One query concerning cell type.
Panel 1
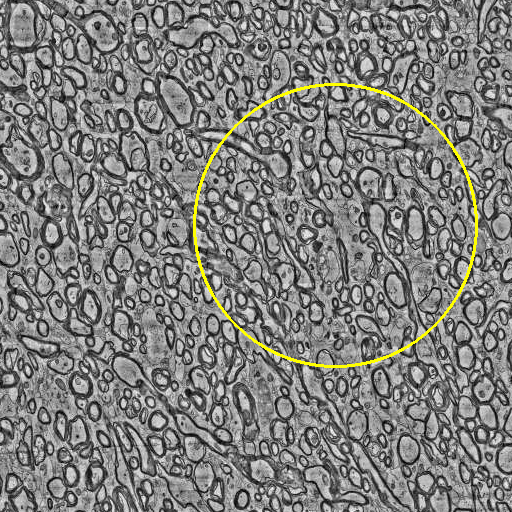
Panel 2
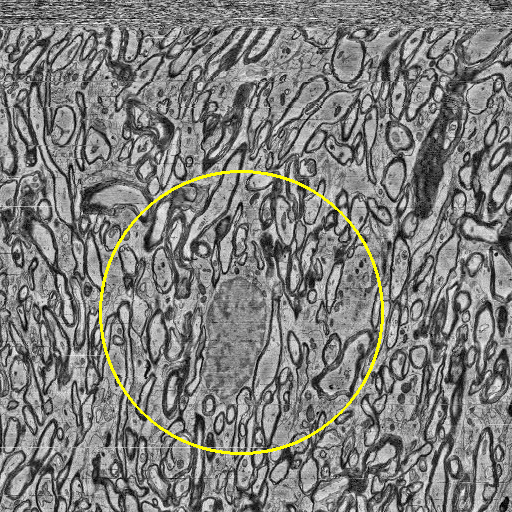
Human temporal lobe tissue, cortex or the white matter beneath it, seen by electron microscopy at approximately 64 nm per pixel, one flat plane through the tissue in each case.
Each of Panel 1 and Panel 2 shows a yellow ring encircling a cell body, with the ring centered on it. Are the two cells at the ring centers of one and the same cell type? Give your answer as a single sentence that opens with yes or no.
No, the cell centered in Panel 1 and the one in Panel 2 are of two types.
